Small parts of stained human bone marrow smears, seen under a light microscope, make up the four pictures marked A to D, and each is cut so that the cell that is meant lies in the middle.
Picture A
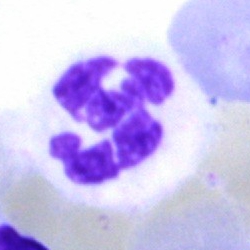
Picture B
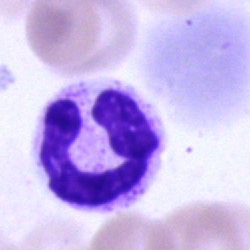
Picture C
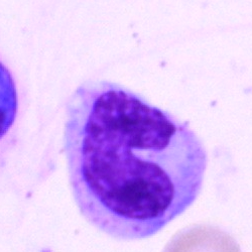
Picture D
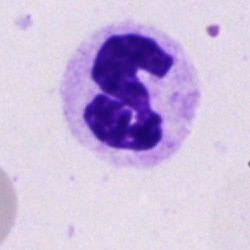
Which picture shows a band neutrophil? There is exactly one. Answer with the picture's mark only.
C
